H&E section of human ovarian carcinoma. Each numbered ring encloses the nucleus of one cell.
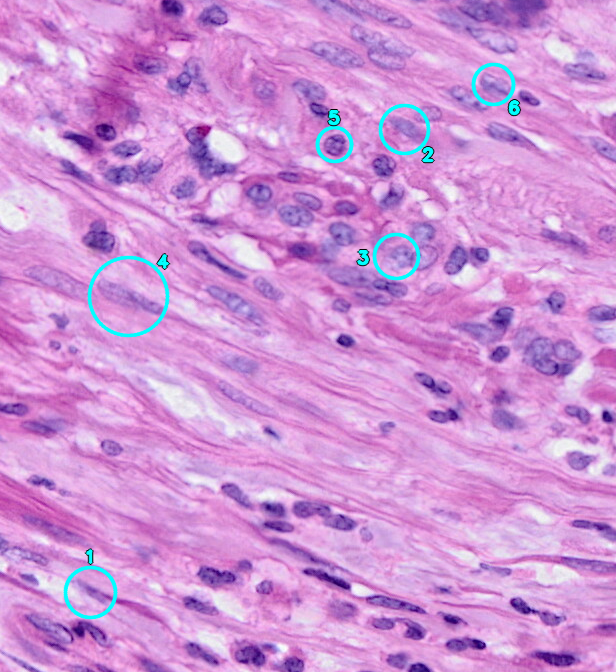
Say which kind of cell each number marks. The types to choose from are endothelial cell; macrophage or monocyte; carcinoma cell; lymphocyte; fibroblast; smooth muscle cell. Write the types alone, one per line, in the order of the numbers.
fibroblast
fibroblast
endothelial cell
fibroblast
macrophage or monocyte
fibroblast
